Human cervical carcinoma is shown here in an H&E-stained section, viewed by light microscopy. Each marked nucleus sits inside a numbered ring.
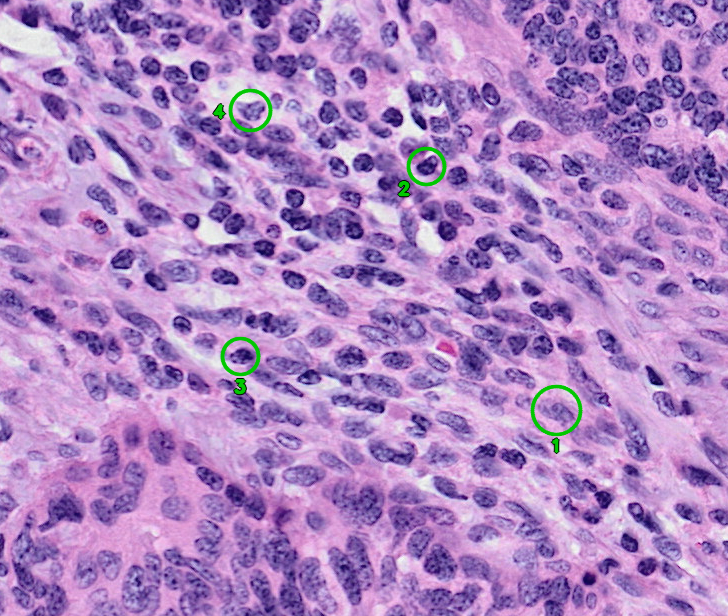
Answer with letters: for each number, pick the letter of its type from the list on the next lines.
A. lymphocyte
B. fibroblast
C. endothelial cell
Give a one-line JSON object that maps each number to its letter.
{"1": "C", "2": "A", "3": "A", "4": "A"}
